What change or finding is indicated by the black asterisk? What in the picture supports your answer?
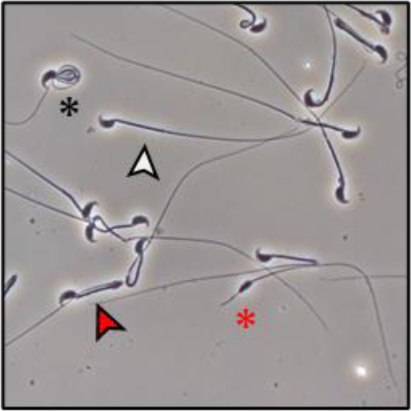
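A head with its tail wound into loops around it, beside the black asterisk.
Answer: coiled spermatozoa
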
